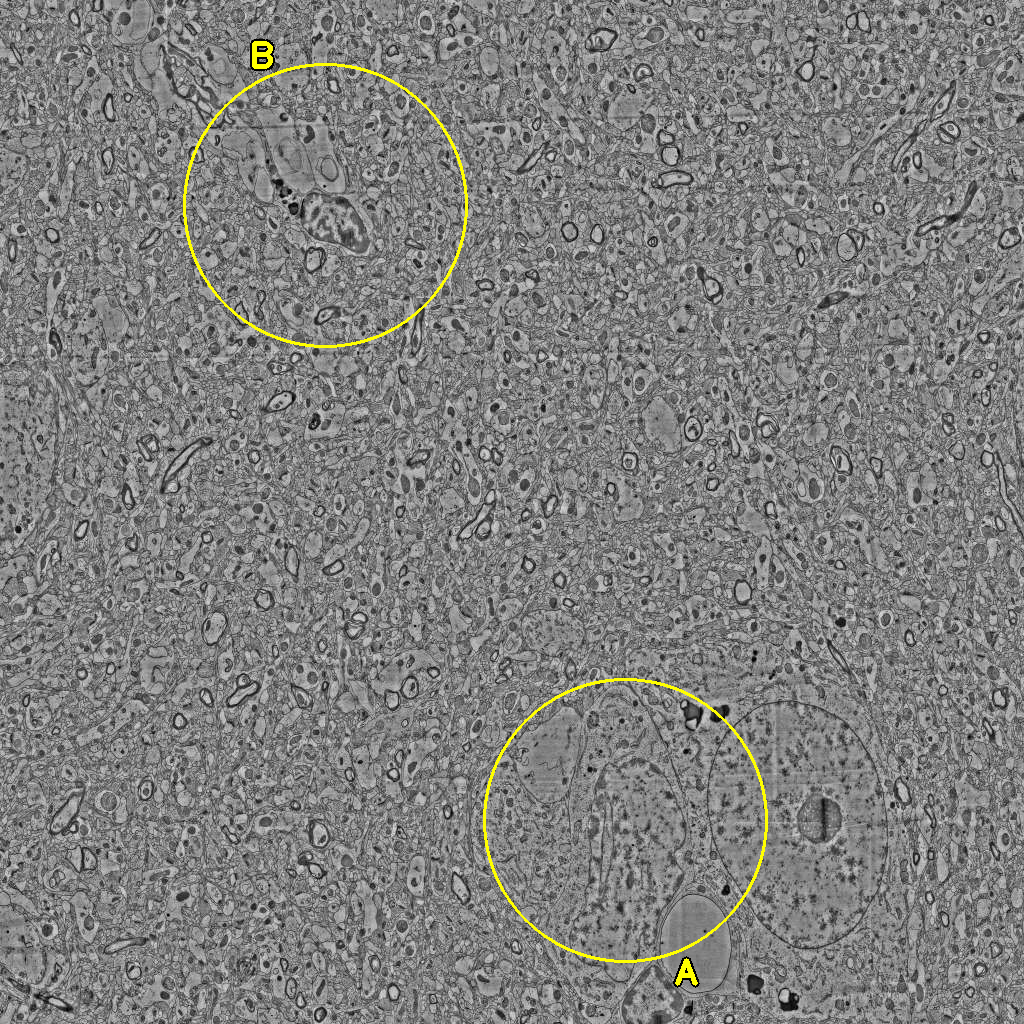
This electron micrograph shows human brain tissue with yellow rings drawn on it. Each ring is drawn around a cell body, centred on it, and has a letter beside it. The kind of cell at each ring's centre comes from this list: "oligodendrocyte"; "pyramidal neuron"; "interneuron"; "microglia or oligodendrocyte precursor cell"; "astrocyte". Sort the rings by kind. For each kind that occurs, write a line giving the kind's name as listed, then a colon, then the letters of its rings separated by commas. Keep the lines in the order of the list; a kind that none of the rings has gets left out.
interneuron: A
microglia or oligodendrocyte precursor cell: B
